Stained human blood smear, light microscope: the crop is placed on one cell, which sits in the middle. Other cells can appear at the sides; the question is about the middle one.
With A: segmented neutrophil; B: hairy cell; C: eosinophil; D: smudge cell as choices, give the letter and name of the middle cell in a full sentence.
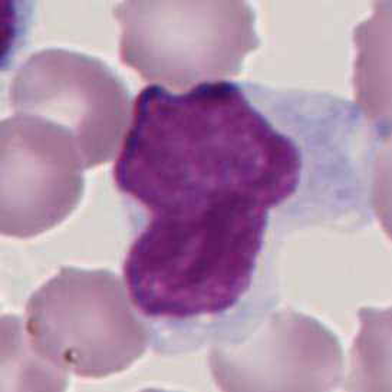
The right choice is option B: the cell in the middle is a hairy cell.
